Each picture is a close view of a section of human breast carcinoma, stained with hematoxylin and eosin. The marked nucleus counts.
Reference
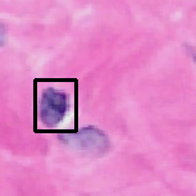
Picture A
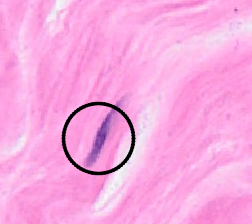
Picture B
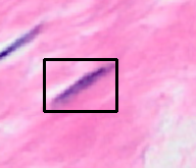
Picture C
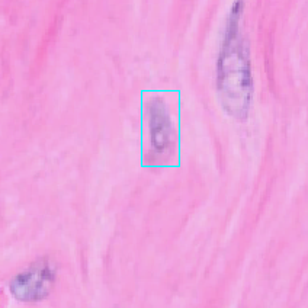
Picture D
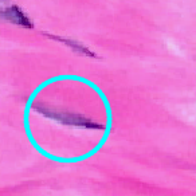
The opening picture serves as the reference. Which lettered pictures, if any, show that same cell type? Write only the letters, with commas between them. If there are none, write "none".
none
